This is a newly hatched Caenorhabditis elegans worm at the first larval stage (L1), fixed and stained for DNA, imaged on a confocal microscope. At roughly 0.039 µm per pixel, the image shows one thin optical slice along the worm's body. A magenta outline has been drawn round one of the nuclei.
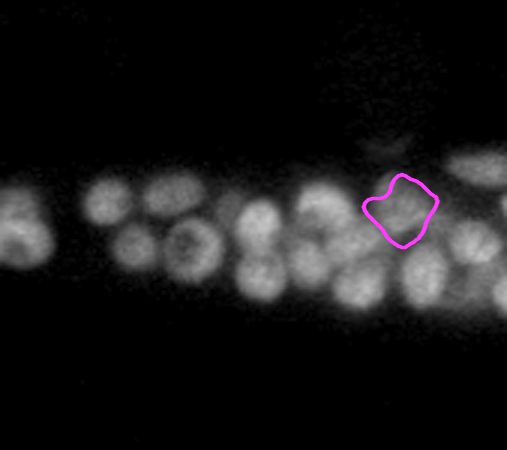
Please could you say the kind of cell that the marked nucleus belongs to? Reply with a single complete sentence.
The marked nucleus is that of a rectal epithelial cell.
